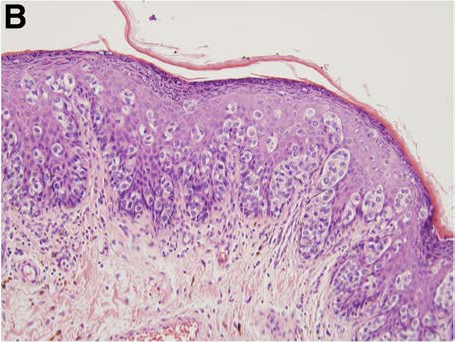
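Thickened epidermis containing numerous large atypical cells with abundant pale, clear to lightly pink cytoplasm, lying singly and in rounded nests among smaller keratinocytes. Nests are most crowded in the lower and mid epidermis, along the rete ridges, with some cells reaching higher levels. Surrounding keratinocytes have darker, smaller nuclei and pink cytoplasm; basal layer stains darker purple. A thin compact keratin layer covers the surface, partly lifted. Underlying dermis shows pink collagen, scattered small vessels and sparse inflammatory cells.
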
